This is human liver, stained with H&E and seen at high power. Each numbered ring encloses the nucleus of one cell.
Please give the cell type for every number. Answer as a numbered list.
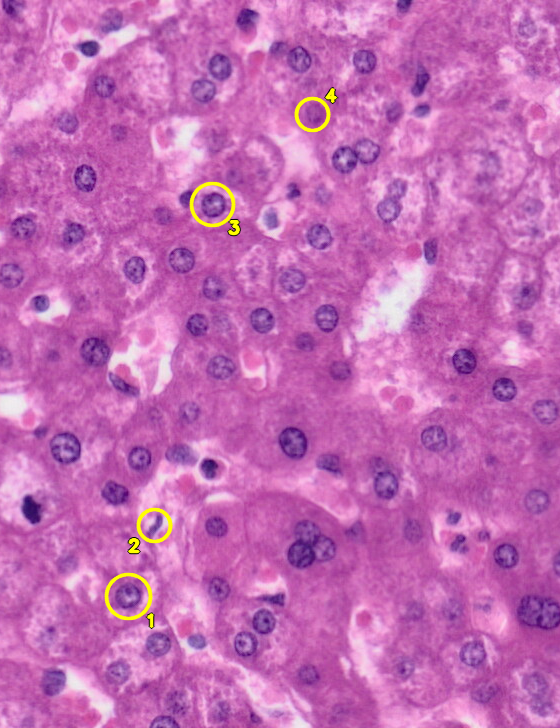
1. hepatocyte
2. endothelial cell
3. hepatocyte
4. hepatocyte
